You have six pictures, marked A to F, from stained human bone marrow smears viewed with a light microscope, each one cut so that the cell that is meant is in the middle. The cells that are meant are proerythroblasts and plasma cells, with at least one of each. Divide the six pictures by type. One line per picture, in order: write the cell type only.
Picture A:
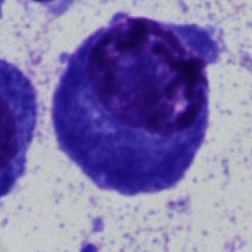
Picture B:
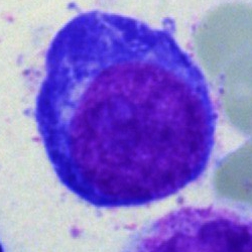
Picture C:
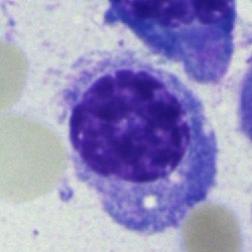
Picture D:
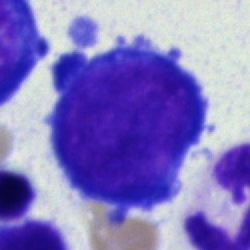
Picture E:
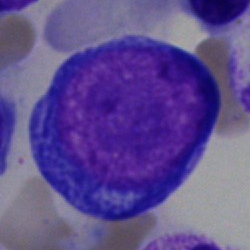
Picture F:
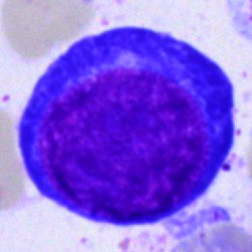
plasma cell
proerythroblast
plasma cell
proerythroblast
proerythroblast
proerythroblast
